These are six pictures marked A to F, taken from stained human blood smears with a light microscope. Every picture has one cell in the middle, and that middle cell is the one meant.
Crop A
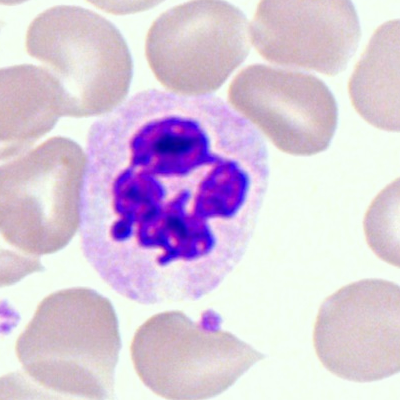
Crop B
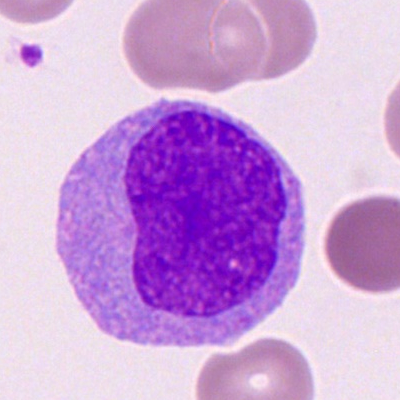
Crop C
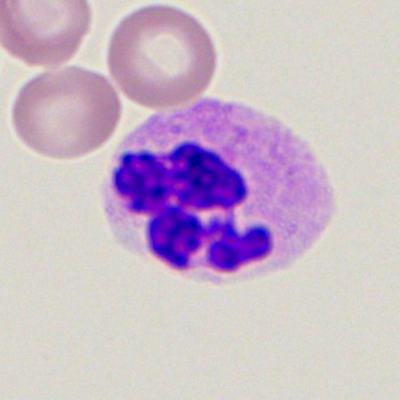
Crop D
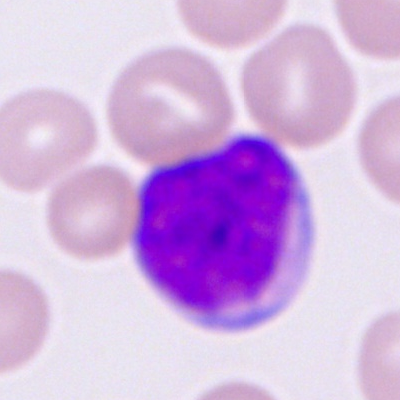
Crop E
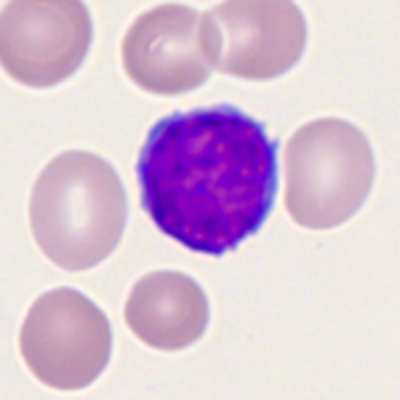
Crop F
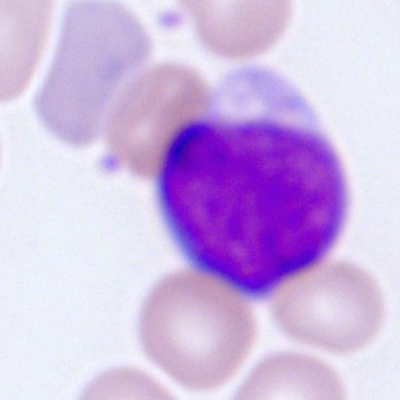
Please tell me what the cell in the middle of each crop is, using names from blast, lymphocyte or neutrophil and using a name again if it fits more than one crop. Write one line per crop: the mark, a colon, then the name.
A: neutrophil
B: blast
C: neutrophil
D: blast
E: lymphocyte
F: blast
